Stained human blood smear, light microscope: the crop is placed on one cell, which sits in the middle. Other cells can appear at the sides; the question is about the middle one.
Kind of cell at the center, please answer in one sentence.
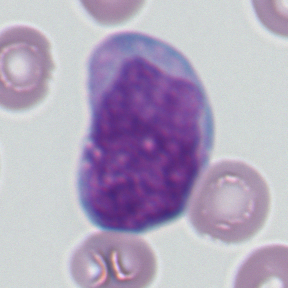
Positioned in the middle of the crop is an atypical promyelocyte.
